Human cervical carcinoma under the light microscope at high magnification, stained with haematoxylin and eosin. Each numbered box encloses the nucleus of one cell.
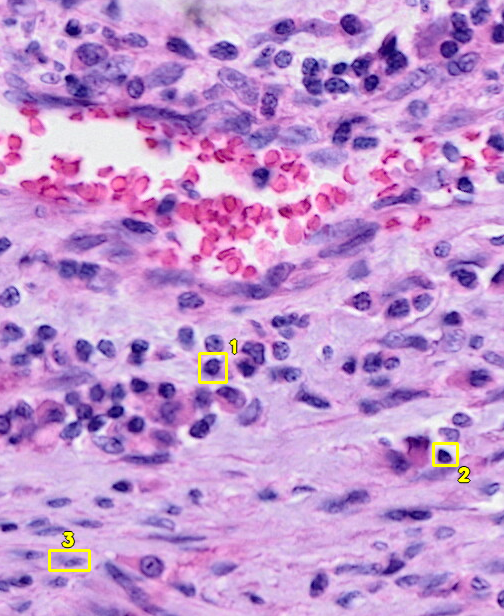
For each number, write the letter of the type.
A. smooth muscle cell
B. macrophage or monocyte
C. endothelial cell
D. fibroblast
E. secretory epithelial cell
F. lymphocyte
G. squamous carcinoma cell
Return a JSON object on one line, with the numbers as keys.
{"1": "F", "2": "F", "3": "D"}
